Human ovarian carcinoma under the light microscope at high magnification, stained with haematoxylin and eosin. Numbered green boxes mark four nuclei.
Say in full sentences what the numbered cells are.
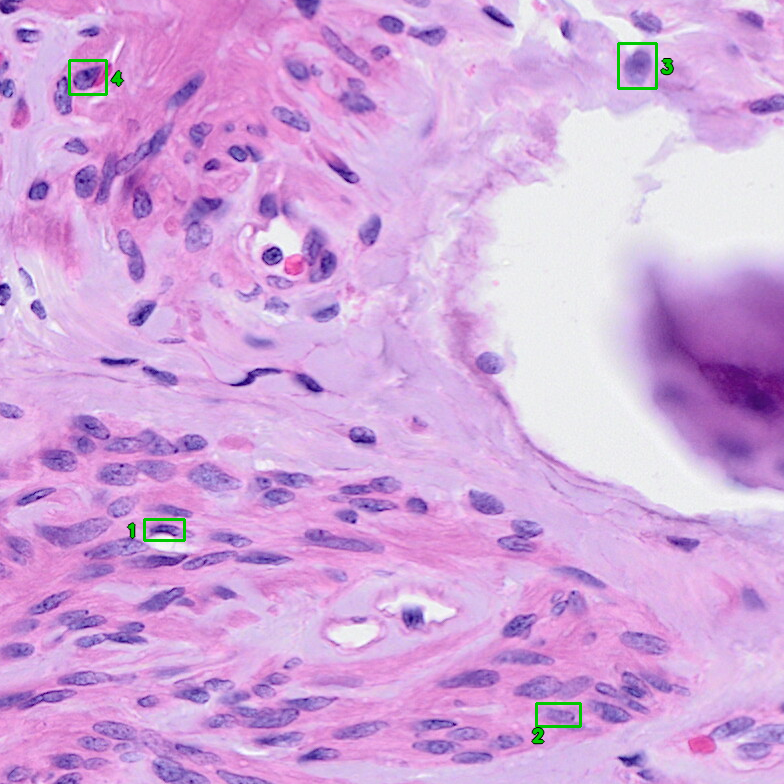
Cell 1 is a smooth muscle cell, cell 2 is a smooth muscle cell, cell 3 is a fibroblast and cell 4 is an endothelial cell.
